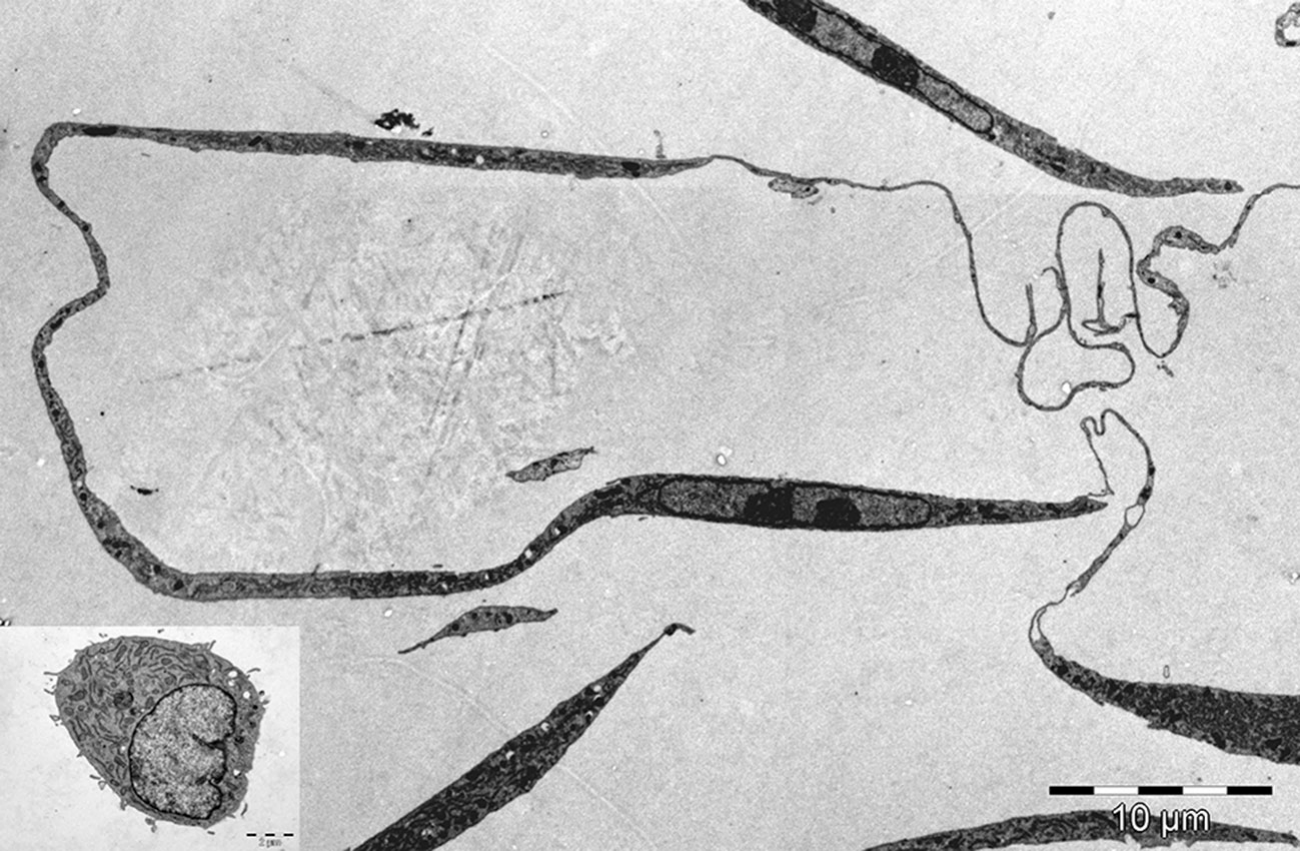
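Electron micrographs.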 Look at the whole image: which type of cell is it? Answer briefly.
telocyte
